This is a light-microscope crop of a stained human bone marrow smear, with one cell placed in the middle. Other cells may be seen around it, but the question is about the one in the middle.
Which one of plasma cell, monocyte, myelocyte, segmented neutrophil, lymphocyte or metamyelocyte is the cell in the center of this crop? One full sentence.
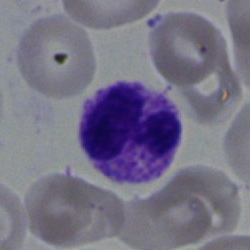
The central cell in this smear crop is a segmented neutrophil.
